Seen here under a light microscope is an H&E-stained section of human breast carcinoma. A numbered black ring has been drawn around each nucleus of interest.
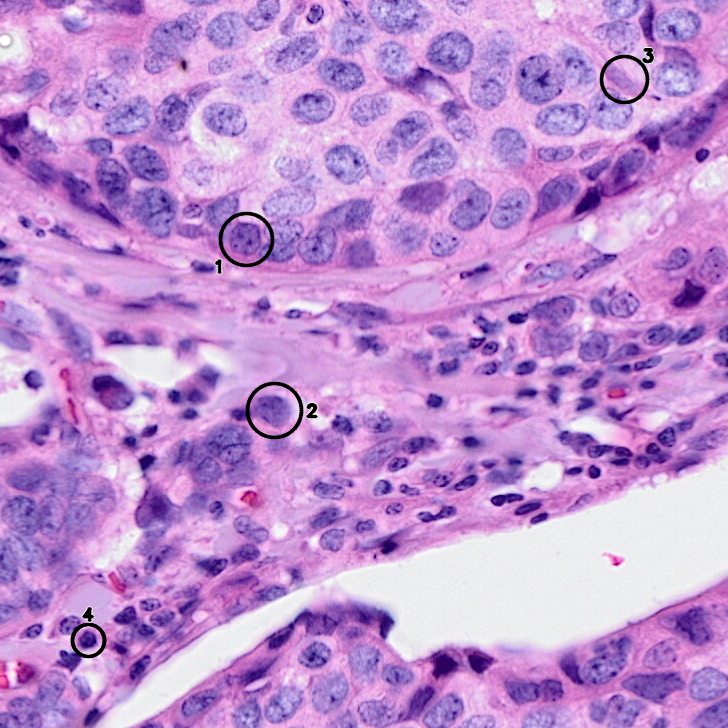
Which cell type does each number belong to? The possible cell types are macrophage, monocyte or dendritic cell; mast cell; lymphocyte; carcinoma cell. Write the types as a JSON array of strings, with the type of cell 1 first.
["carcinoma cell", "carcinoma cell", "carcinoma cell", "lymphocyte"]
